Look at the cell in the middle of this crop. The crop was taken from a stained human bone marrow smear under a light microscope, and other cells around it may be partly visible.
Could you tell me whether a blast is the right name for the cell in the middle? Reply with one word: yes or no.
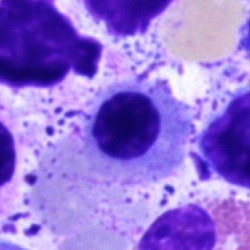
no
